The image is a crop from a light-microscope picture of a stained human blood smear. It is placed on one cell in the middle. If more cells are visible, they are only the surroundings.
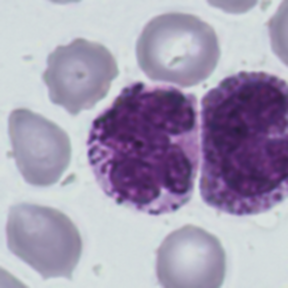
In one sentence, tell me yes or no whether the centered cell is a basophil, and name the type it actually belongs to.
Yes, the middle cell is classified as a basophil.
